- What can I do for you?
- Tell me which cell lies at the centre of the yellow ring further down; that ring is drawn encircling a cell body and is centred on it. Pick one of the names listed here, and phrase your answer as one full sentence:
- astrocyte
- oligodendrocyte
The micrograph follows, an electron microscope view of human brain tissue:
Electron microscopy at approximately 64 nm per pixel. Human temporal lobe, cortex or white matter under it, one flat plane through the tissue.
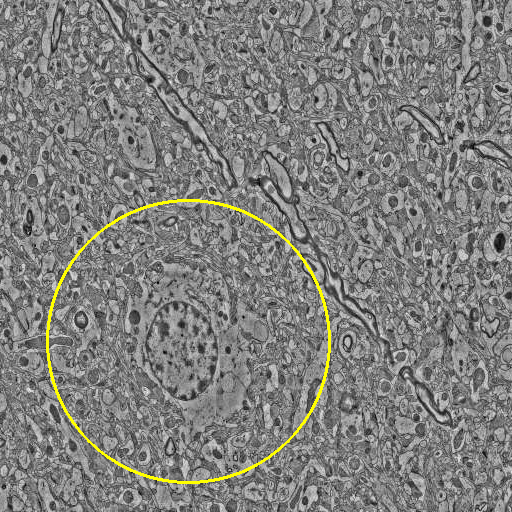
The cell whose body lies at the centre of the yellow ring is an astrocyte.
